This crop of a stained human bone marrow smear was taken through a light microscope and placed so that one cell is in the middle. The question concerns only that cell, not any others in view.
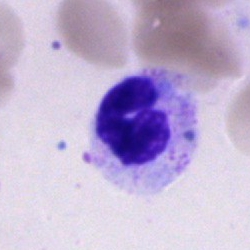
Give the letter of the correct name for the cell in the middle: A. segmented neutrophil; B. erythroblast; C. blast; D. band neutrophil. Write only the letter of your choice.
A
